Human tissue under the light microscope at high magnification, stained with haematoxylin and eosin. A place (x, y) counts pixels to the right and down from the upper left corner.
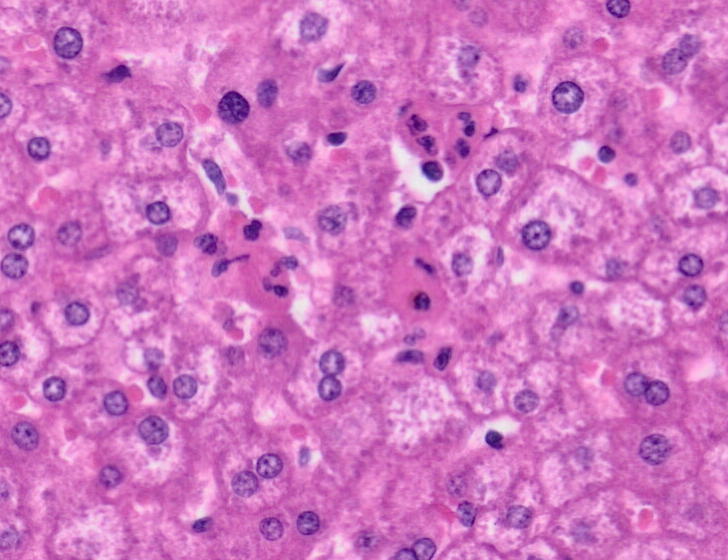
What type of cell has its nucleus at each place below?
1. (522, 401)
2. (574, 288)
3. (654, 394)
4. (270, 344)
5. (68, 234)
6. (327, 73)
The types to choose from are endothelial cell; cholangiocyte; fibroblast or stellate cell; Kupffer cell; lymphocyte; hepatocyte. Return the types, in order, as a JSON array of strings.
["hepatocyte", "lymphocyte", "hepatocyte", "hepatocyte", "hepatocyte", "endothelial cell"]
